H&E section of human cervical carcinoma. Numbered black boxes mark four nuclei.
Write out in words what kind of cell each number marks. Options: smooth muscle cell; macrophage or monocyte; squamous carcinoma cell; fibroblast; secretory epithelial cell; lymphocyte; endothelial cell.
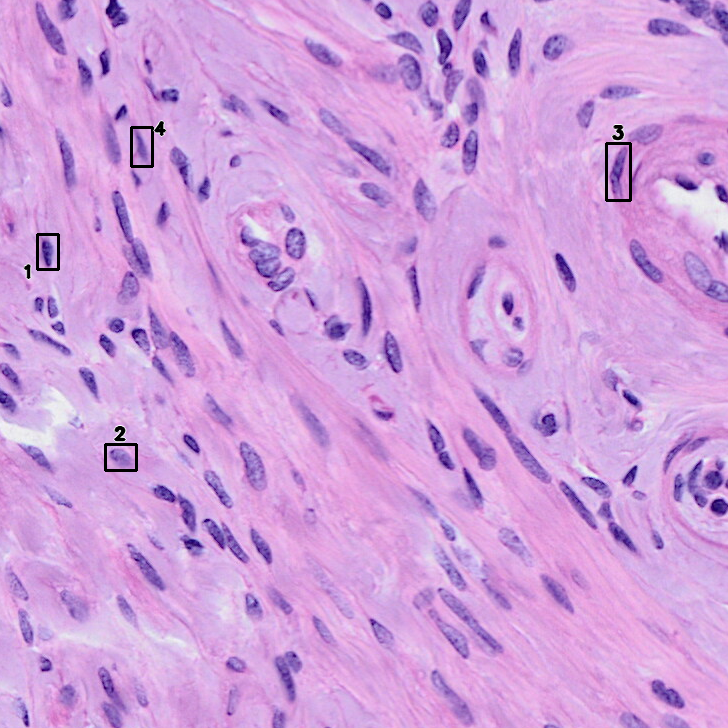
Cell 1 is a fibroblast, cell 2 is a fibroblast, cell 3 is a smooth muscle cell and cell 4 is a fibroblast.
